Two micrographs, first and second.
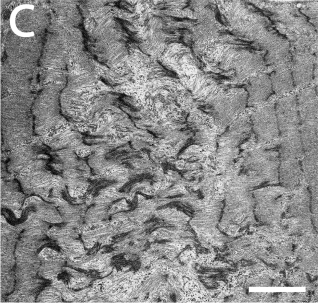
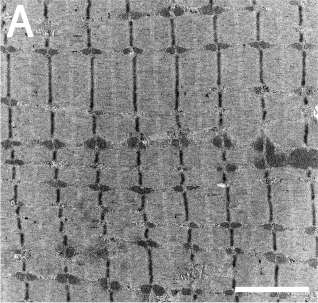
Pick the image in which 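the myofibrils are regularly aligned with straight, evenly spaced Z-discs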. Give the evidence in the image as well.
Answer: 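First image: banding is lost in a central area of tangled filaments, with twisted dark fragments. Second image: straight dark transverse lines repeat evenly across parallel myofibrils. The answer: the second image.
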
